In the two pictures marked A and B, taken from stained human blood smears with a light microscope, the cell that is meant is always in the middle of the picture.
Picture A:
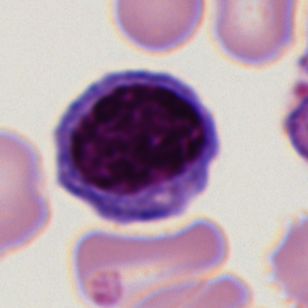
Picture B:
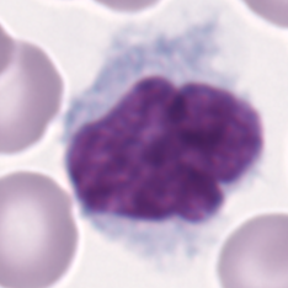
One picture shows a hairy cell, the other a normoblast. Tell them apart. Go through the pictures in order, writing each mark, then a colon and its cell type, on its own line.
A: normoblast
B: hairy cell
